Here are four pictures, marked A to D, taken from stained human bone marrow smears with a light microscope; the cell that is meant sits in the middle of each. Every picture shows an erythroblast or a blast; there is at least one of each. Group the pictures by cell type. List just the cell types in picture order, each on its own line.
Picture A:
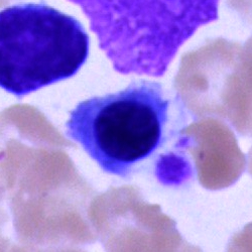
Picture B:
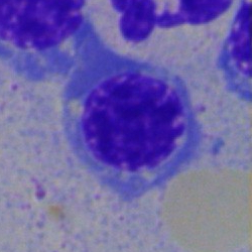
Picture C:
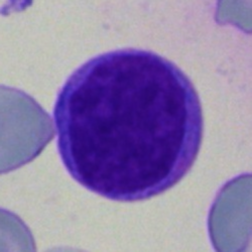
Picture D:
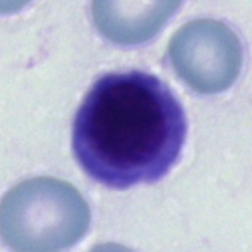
erythroblast
erythroblast
blast
erythroblast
